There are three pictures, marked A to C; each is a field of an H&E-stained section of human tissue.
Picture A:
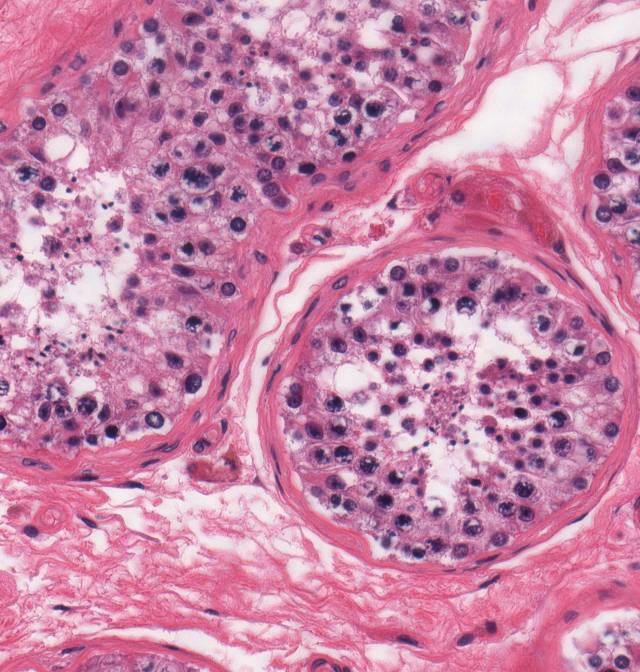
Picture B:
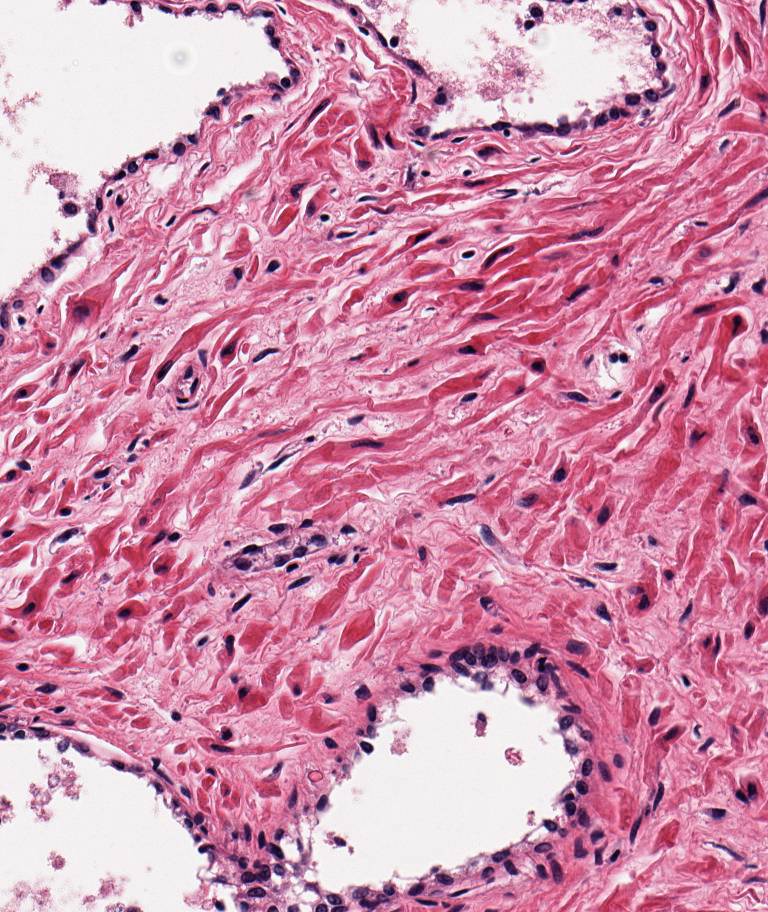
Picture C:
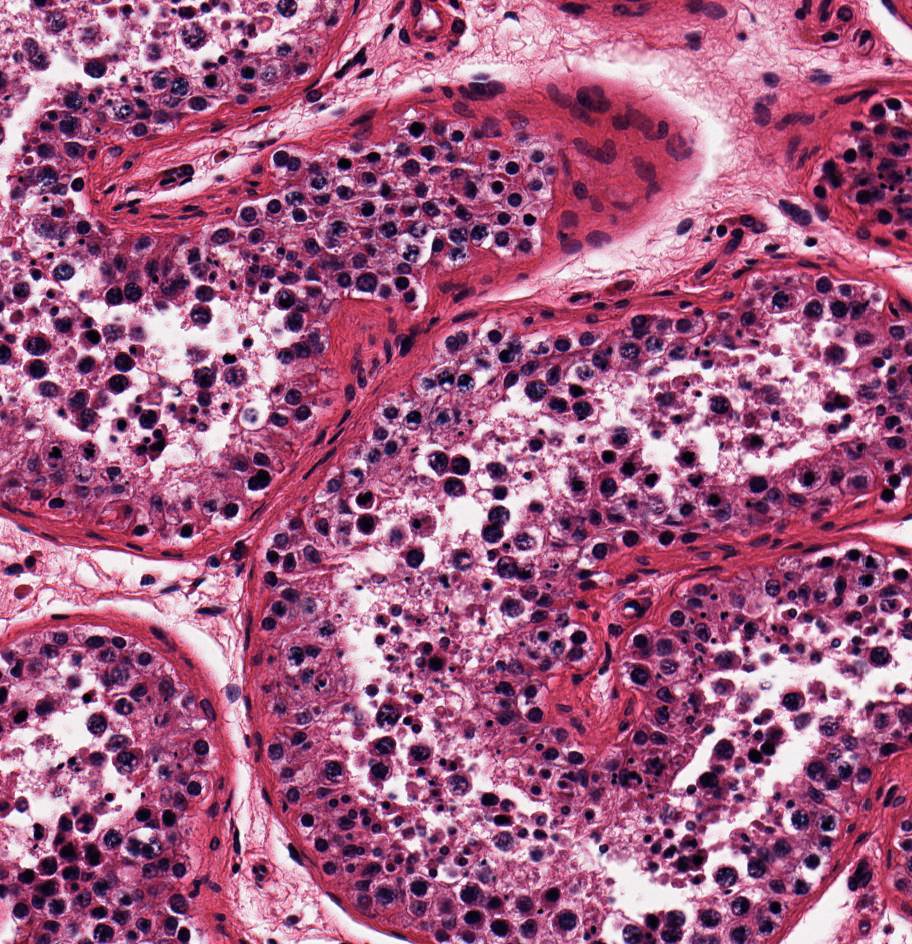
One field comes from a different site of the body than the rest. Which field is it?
B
